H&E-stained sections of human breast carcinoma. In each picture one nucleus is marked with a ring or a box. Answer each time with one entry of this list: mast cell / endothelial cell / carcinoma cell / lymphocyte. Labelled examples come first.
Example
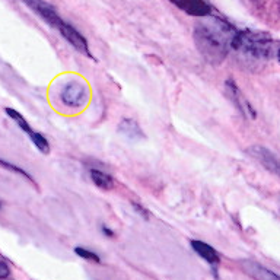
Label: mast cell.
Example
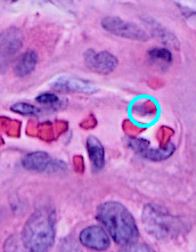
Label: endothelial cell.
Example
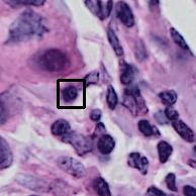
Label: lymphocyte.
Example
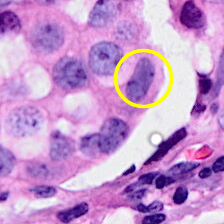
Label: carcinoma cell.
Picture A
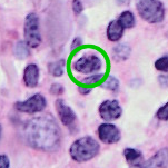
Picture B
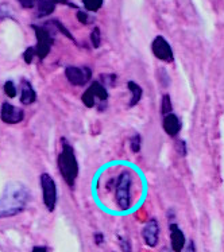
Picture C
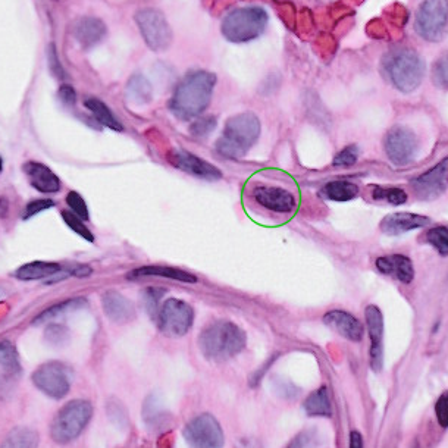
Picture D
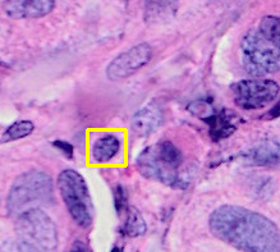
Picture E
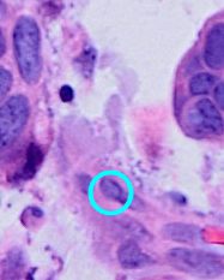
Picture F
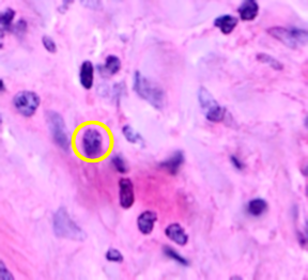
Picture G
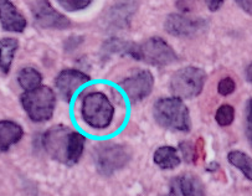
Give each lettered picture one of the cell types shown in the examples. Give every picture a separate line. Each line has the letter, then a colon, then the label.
A: lymphocyte.
B: endothelial cell.
C: mast cell.
D: mast cell.
E: endothelial cell.
F: mast cell.
G: carcinoma cell.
